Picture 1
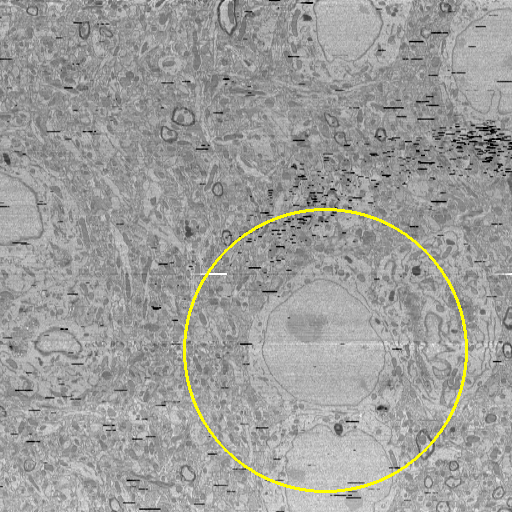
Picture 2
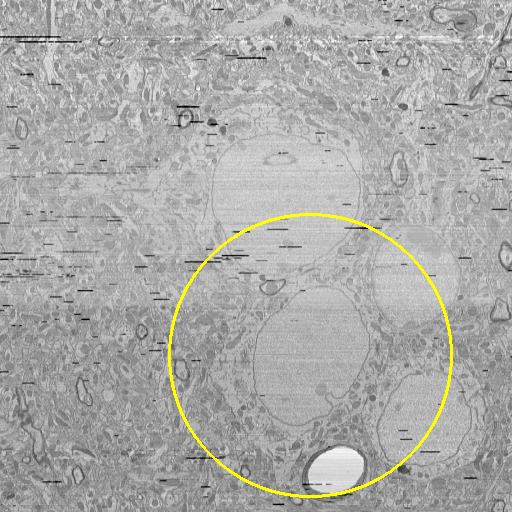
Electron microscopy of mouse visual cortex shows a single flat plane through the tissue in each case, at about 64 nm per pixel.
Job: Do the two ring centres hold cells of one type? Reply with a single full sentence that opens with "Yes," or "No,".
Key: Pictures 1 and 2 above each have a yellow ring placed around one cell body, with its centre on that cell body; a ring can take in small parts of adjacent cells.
Yes, the cells at the two ring centres are of one single type.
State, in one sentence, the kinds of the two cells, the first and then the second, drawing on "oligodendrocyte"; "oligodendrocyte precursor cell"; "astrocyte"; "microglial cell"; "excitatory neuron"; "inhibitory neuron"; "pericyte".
Each cell at the centre of a ring is an excitatory neuron.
